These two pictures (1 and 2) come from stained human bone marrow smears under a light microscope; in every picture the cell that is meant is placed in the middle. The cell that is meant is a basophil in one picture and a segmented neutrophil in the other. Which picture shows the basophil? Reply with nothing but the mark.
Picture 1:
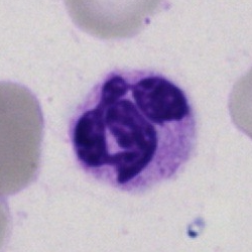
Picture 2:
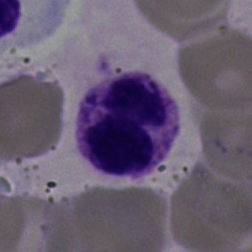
2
